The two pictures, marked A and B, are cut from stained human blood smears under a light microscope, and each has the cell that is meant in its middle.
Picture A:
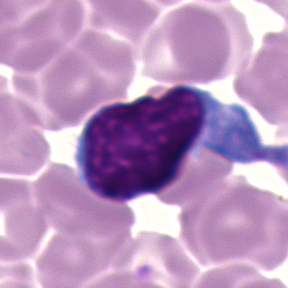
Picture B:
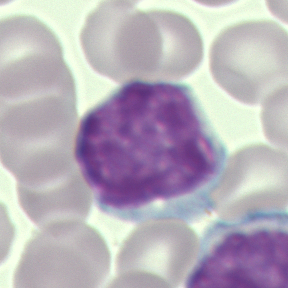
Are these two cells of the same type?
yes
